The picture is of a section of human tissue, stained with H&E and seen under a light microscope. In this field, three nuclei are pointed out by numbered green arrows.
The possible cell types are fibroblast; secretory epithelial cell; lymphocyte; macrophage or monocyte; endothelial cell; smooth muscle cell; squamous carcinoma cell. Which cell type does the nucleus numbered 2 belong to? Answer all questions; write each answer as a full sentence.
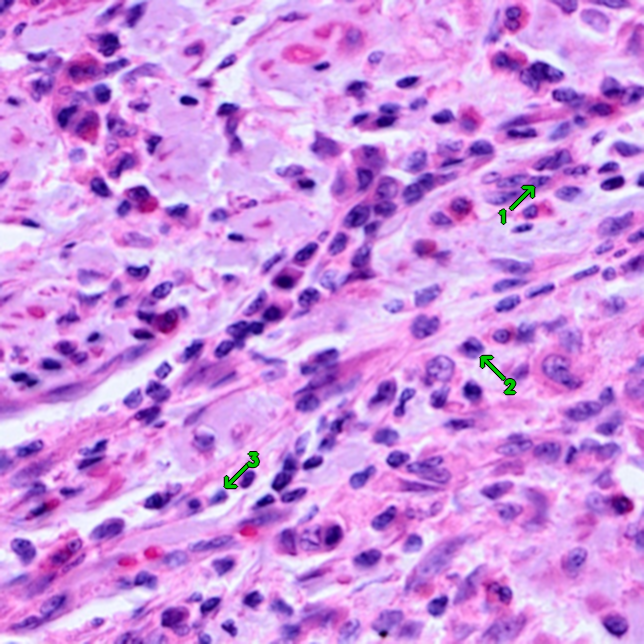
Cell 2 is classified as a lymphocyte.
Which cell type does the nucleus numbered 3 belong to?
The cell with the number 3 is a lymphocyte.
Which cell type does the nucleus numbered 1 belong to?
The cell tagged with 1 in this tissue section is an endothelial cell.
